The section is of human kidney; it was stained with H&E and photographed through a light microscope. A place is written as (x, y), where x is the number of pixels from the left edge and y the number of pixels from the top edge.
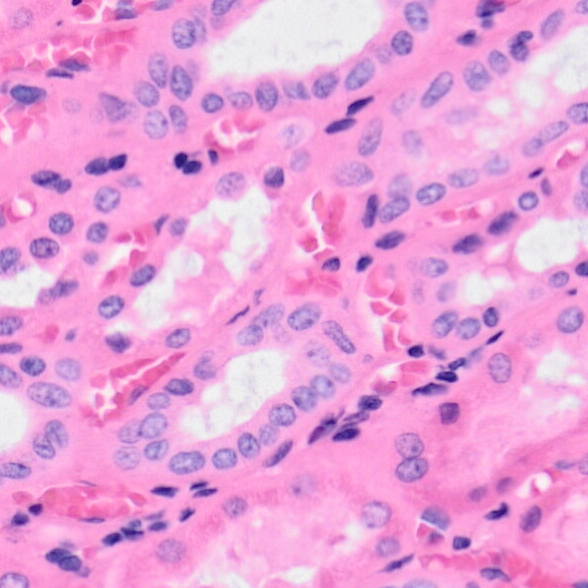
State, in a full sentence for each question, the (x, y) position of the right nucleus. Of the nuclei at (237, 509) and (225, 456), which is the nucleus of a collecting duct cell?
It is the nucleus at (225, 456), not the other one, that belongs to a collecting duct cell.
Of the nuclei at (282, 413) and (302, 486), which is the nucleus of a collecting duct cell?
Lying within a collecting duct cell is the nucleus at (282, 413).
